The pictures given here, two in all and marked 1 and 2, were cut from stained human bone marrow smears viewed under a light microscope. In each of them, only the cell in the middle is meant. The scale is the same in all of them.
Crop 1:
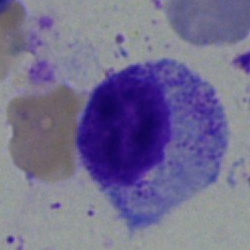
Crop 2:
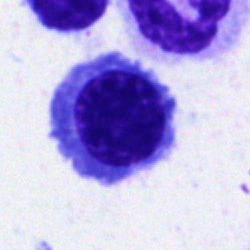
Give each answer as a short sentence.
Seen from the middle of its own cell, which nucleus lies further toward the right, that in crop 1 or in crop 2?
The nucleus in crop 2 lies further toward the right of its cell.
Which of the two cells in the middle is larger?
It is the cell in crop 1, about 1.5 times as large in area as the cell in crop 2.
